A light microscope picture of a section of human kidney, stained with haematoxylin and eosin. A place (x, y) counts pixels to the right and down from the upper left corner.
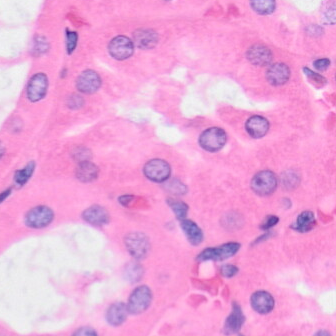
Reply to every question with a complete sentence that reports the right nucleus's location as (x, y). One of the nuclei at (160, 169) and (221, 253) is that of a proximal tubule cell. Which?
Of the two options, the nucleus at (160, 169) is the one that belongs to a proximal tubule cell.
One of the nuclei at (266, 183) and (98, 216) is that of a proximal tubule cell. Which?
The nucleus whose position is (266, 183) belongs to a proximal tubule cell.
